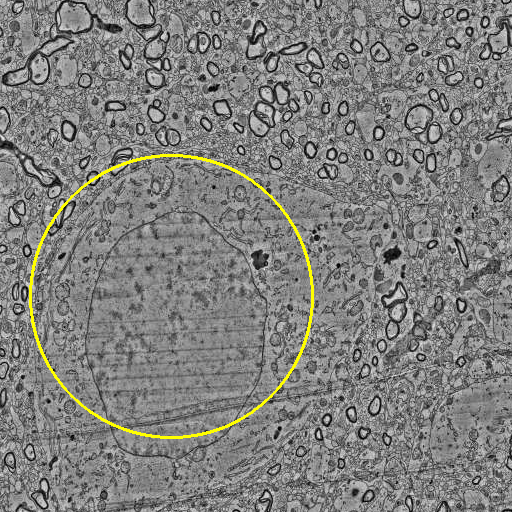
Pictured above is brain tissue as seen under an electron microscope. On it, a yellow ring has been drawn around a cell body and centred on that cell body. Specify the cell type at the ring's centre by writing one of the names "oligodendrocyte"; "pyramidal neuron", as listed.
pyramidal neuron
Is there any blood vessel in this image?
No, there is no blood vessel.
